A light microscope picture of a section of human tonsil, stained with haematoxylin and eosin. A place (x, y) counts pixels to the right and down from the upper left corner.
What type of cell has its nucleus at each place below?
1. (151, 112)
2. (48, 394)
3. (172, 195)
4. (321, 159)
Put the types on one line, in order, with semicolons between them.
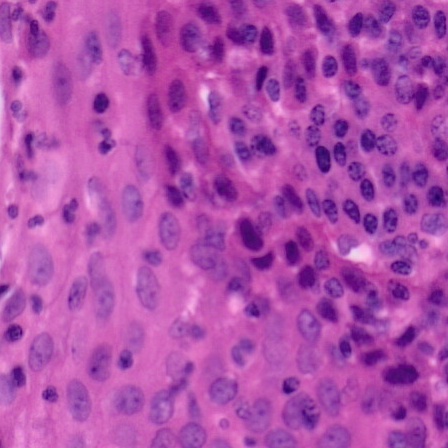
squamous epithelial cell; squamous epithelial cell; squamous epithelial cell; plasma cell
